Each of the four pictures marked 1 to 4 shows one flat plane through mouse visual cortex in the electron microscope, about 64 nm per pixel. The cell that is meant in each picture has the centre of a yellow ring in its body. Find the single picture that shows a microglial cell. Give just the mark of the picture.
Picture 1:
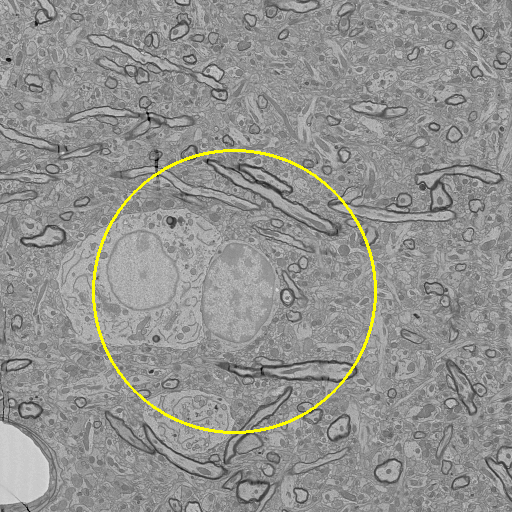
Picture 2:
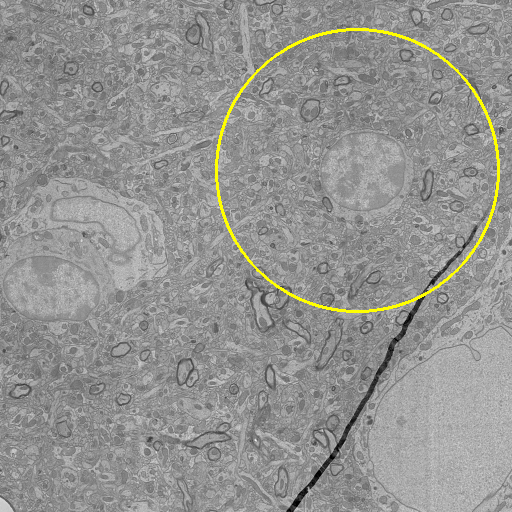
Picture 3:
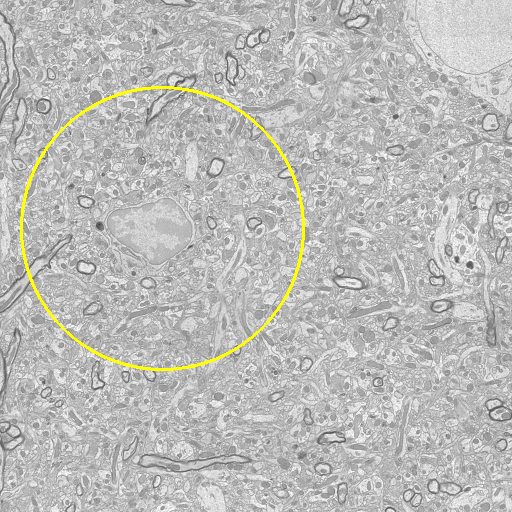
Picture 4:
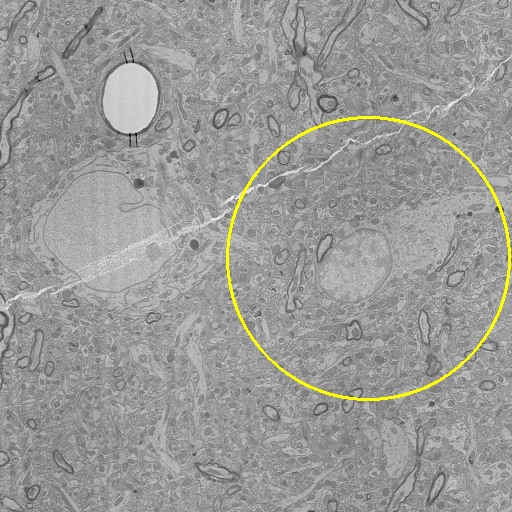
3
